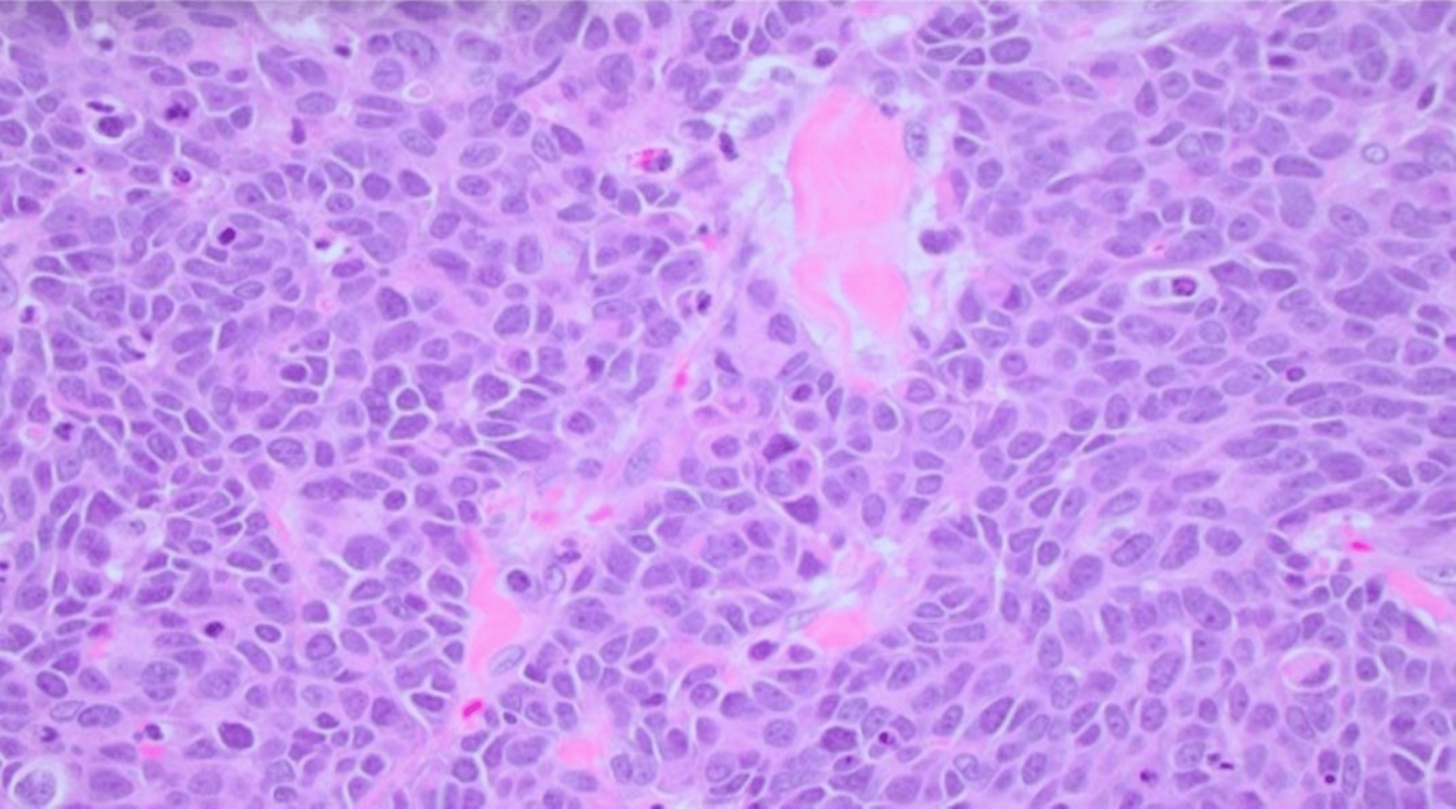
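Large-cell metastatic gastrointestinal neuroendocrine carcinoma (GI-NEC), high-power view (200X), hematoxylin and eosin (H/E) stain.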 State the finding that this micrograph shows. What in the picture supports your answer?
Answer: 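Nuclei are large and take up most of each cell. Nuclei are crowded and touch or nearly touch one another. Nuclei are oval to elongated with pale purple chromatin.
Conclusion: enlarged nuclei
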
